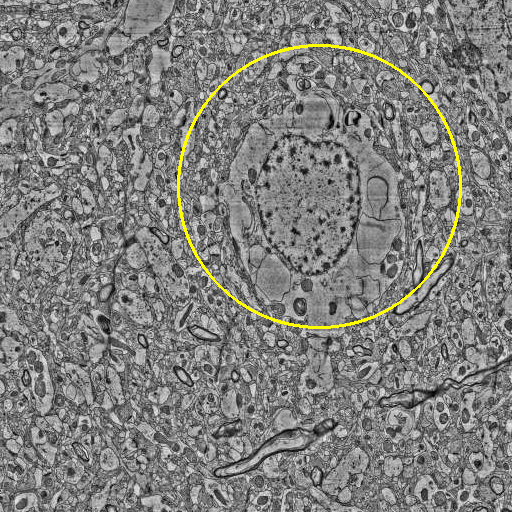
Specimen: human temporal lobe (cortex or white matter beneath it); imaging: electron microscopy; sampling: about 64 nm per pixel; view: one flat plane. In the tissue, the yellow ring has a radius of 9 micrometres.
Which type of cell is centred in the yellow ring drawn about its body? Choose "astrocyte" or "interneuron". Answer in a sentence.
The yellow ring surrounds the cell body of an astrocyte.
